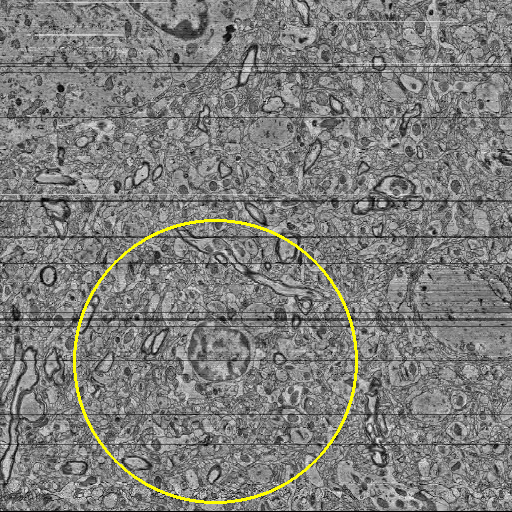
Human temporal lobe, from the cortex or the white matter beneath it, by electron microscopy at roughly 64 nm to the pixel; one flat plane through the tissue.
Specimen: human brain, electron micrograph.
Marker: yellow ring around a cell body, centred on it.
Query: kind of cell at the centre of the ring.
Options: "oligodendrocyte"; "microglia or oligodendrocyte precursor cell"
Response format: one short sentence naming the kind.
This cell body belongs to a microglial cell or oligodendrocyte precursor cell.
